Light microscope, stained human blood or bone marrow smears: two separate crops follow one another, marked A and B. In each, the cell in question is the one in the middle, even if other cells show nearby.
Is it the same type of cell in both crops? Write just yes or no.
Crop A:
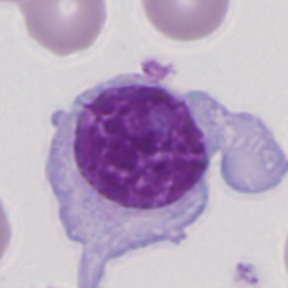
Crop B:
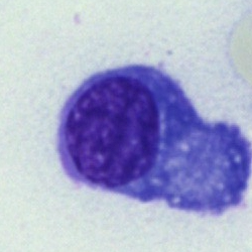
yes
